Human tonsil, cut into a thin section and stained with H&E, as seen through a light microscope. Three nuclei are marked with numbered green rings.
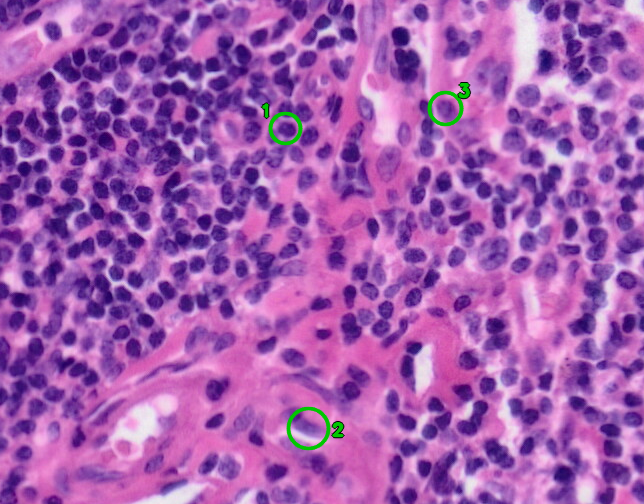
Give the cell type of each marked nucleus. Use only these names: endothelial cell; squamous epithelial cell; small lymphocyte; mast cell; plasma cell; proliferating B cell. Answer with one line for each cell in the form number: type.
1: small lymphocyte
2: endothelial cell
3: endothelial cell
